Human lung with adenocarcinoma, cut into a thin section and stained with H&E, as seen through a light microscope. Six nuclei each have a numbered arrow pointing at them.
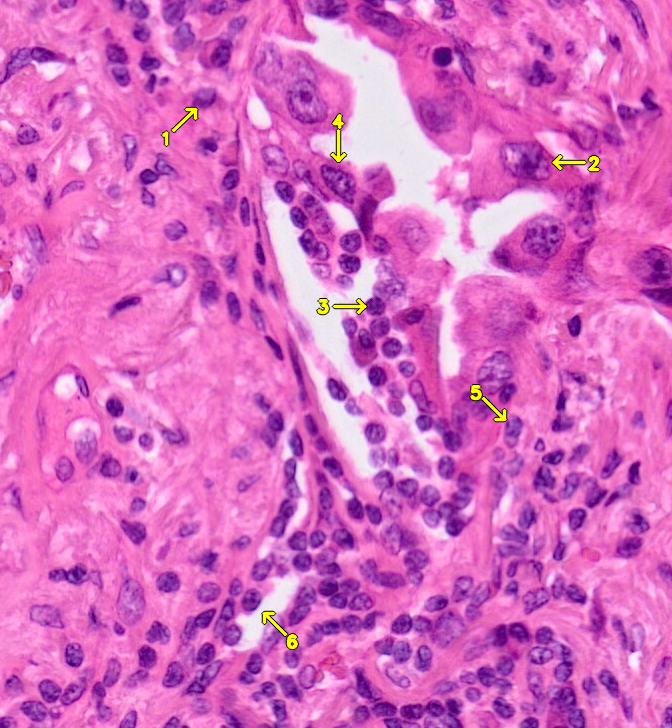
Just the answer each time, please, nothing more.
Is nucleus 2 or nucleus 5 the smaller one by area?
5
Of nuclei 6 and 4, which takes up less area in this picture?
6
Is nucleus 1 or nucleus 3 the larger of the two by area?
1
